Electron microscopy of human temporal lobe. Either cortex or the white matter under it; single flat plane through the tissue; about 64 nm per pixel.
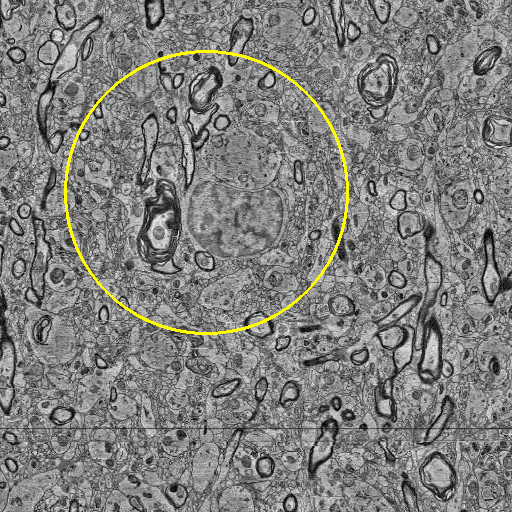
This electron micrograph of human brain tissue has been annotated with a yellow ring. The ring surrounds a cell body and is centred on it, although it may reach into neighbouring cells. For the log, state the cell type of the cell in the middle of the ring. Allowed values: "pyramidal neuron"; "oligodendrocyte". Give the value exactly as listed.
oligodendrocyte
